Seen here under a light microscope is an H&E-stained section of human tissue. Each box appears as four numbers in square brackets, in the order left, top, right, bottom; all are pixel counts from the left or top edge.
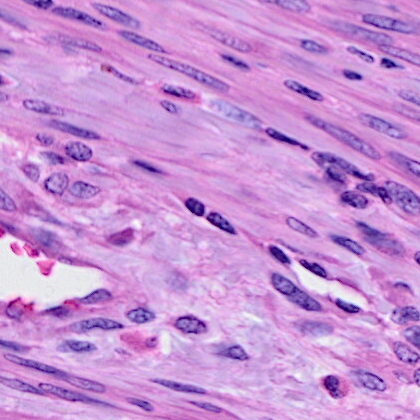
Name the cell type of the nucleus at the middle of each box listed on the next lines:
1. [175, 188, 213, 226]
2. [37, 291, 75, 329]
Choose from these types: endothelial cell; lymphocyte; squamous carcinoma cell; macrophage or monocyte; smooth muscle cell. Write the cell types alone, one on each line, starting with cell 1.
lymphocyte
endothelial cell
